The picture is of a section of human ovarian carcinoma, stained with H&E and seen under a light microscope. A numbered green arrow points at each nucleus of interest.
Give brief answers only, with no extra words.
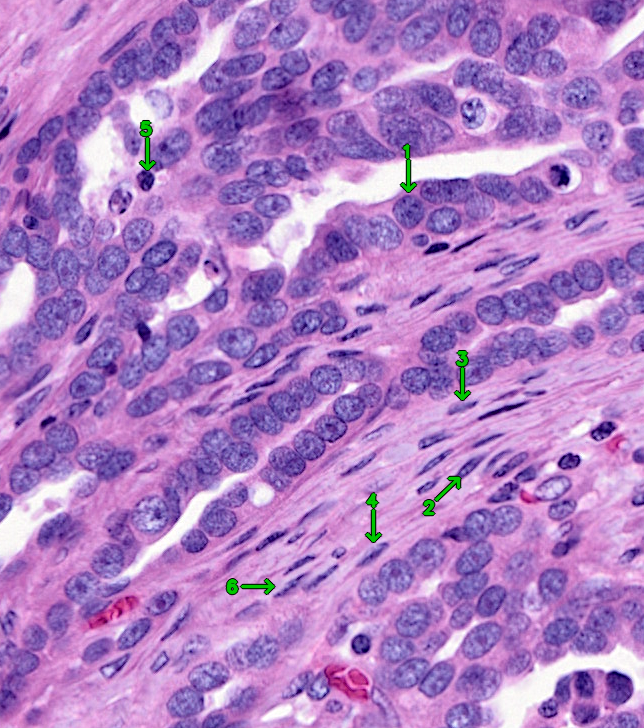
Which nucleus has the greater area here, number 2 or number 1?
1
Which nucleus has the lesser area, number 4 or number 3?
3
